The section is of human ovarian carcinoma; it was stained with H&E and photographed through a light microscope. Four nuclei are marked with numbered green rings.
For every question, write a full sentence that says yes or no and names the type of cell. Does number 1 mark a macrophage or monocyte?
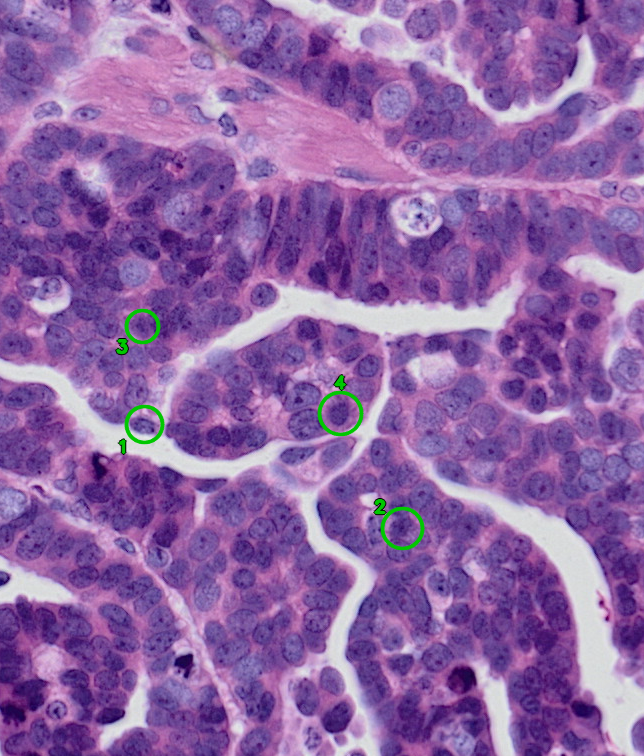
Yes, the number 1 belongs to a macrophage or monocyte.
